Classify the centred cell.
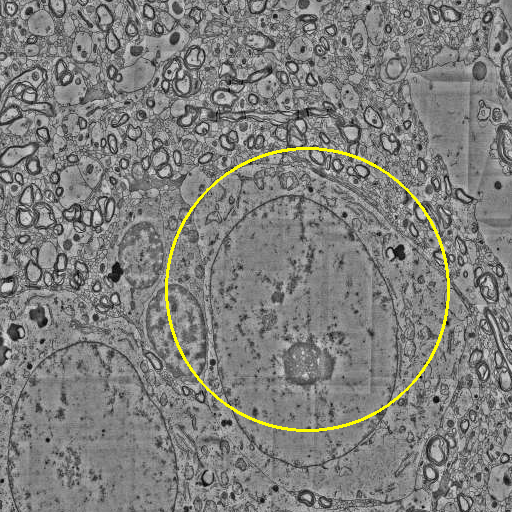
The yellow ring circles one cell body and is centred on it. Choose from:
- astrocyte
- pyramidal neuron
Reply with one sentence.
The ring is centred on a pyramidal neuron.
